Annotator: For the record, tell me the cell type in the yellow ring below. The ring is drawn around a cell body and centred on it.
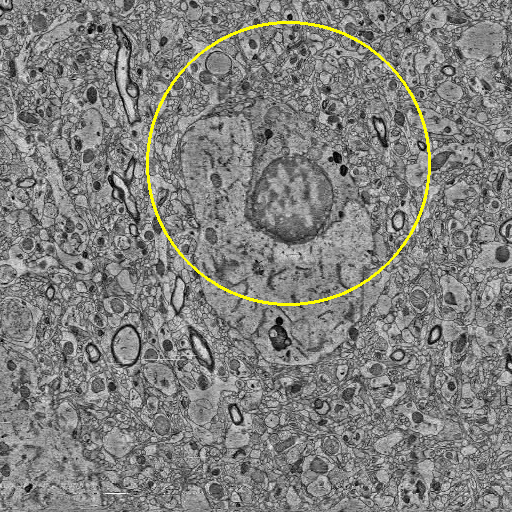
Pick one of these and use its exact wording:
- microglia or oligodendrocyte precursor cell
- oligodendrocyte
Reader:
oligodendrocyte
